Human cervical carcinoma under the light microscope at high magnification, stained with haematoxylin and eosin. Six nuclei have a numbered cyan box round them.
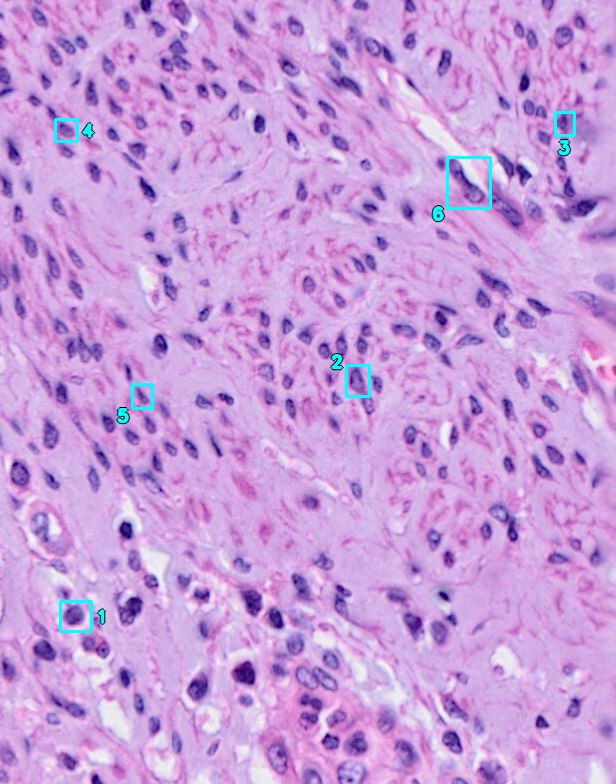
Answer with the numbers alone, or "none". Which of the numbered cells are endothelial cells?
6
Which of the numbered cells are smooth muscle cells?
2, 3, 4, 5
